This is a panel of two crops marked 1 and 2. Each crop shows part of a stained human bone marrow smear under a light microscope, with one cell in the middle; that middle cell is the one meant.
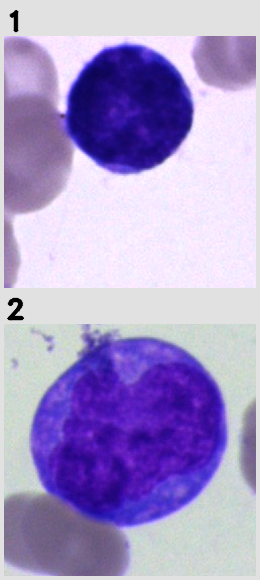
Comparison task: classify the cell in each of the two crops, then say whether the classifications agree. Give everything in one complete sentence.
Yes, the first and the second crop both show blasts.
